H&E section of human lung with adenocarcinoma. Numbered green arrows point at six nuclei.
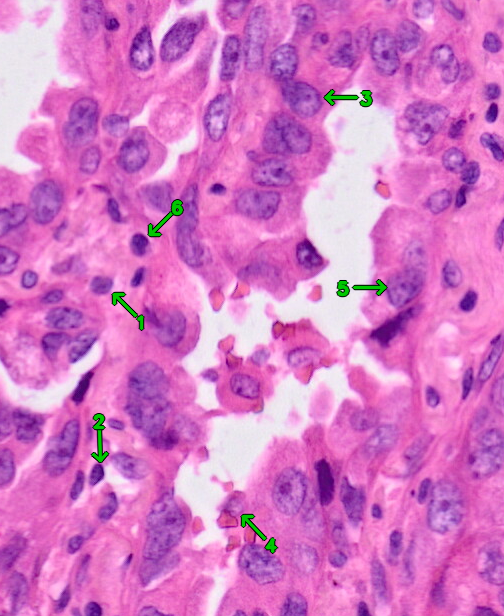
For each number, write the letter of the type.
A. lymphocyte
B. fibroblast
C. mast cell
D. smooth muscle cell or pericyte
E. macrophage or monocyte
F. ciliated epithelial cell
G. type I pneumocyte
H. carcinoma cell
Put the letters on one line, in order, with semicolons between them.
A; A; H; E; H; A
